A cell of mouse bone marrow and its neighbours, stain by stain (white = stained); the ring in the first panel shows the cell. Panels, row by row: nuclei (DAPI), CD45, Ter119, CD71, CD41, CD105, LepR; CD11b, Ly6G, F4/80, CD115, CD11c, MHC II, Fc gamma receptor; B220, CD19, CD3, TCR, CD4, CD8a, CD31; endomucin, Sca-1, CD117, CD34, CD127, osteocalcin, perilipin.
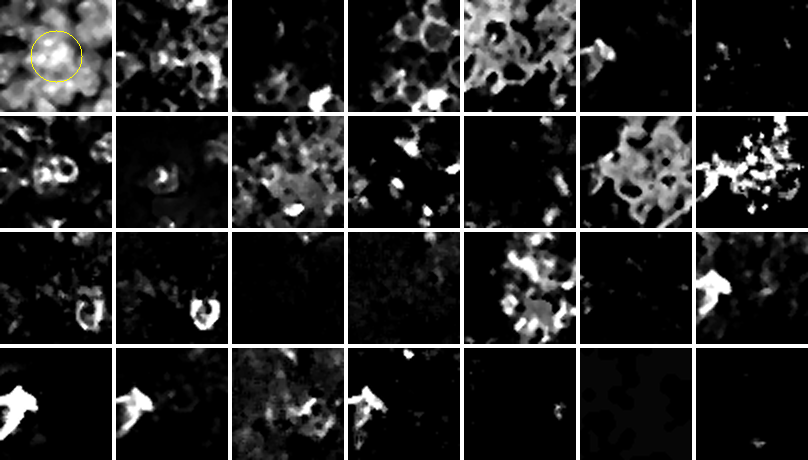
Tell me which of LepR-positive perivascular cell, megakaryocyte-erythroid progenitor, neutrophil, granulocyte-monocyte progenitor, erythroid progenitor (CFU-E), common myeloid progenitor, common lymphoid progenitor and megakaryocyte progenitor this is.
The picture shows an erythroid progenitor (CFU-E).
